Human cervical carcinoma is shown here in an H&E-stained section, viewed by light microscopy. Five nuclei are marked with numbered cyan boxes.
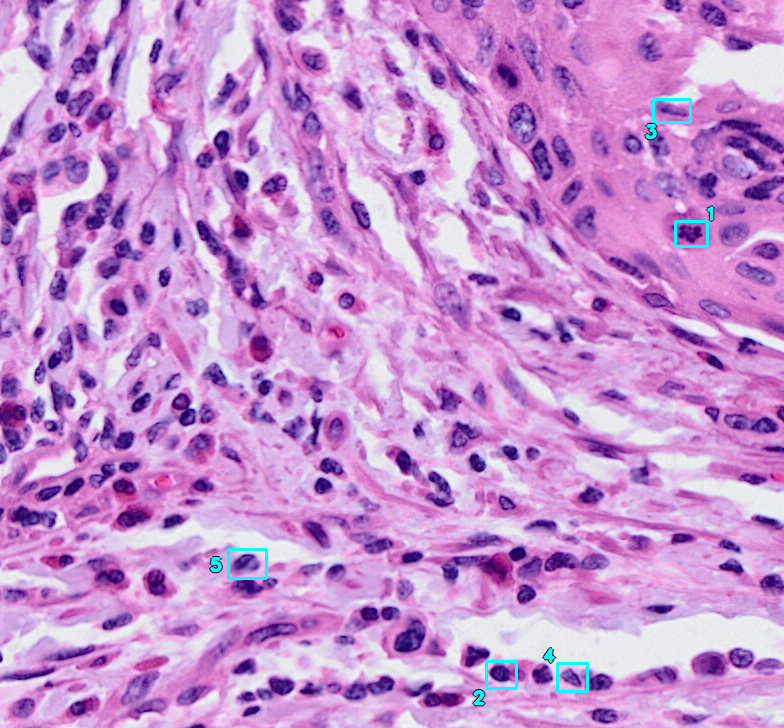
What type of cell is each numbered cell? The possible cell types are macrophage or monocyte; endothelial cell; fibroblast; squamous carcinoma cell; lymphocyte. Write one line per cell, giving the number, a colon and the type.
1: squamous carcinoma cell
2: lymphocyte
3: squamous carcinoma cell
4: lymphocyte
5: lymphocyte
